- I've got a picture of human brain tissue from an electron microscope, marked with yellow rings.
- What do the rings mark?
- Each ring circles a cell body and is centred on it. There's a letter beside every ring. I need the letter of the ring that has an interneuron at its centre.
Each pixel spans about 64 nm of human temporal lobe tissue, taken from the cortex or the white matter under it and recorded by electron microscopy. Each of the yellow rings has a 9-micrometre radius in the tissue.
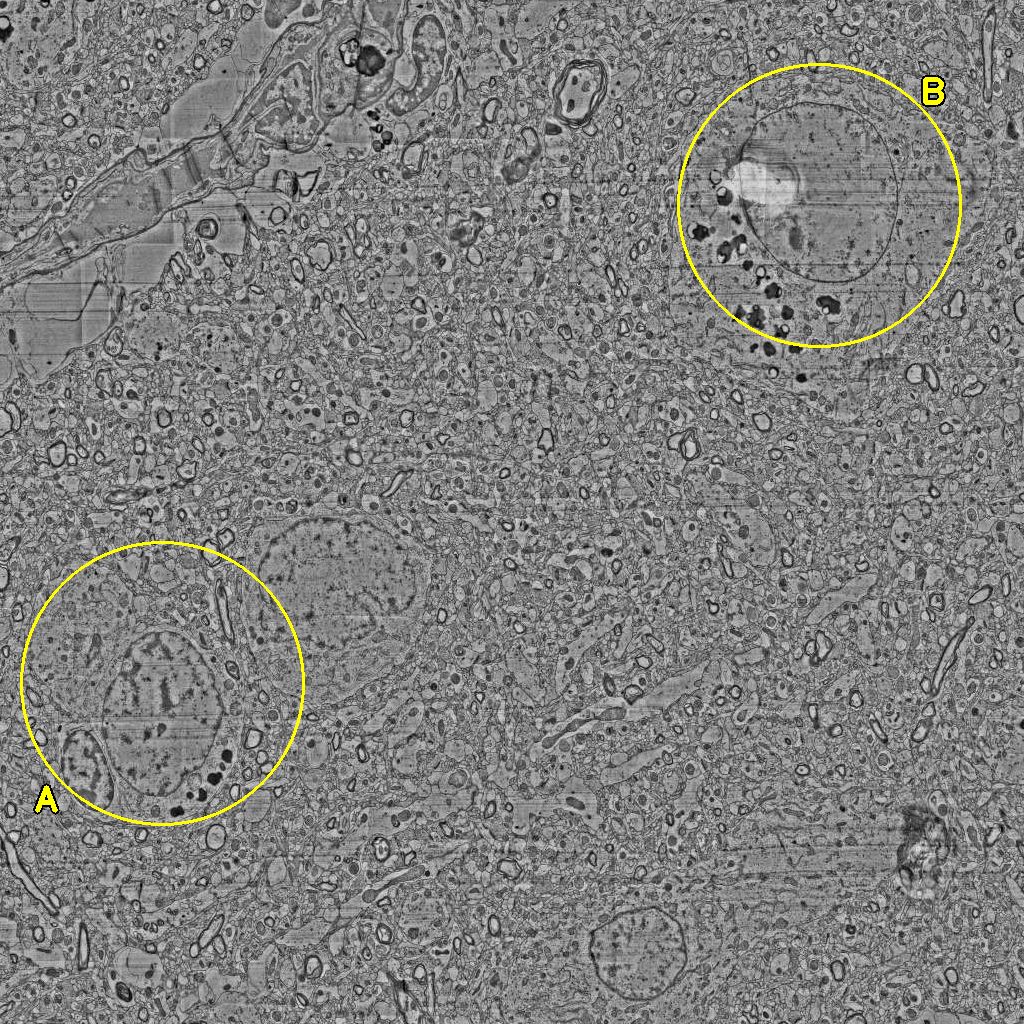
A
